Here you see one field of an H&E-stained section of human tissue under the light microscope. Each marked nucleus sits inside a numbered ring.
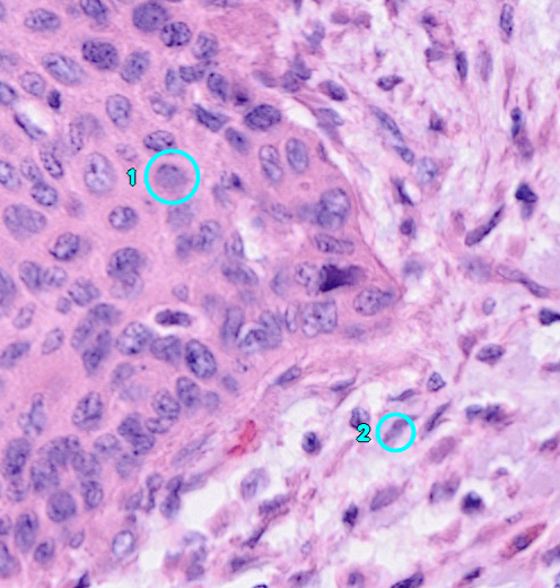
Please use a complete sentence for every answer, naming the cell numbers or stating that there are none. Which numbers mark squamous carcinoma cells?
Only at number 1 is there a squamous carcinoma cell.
